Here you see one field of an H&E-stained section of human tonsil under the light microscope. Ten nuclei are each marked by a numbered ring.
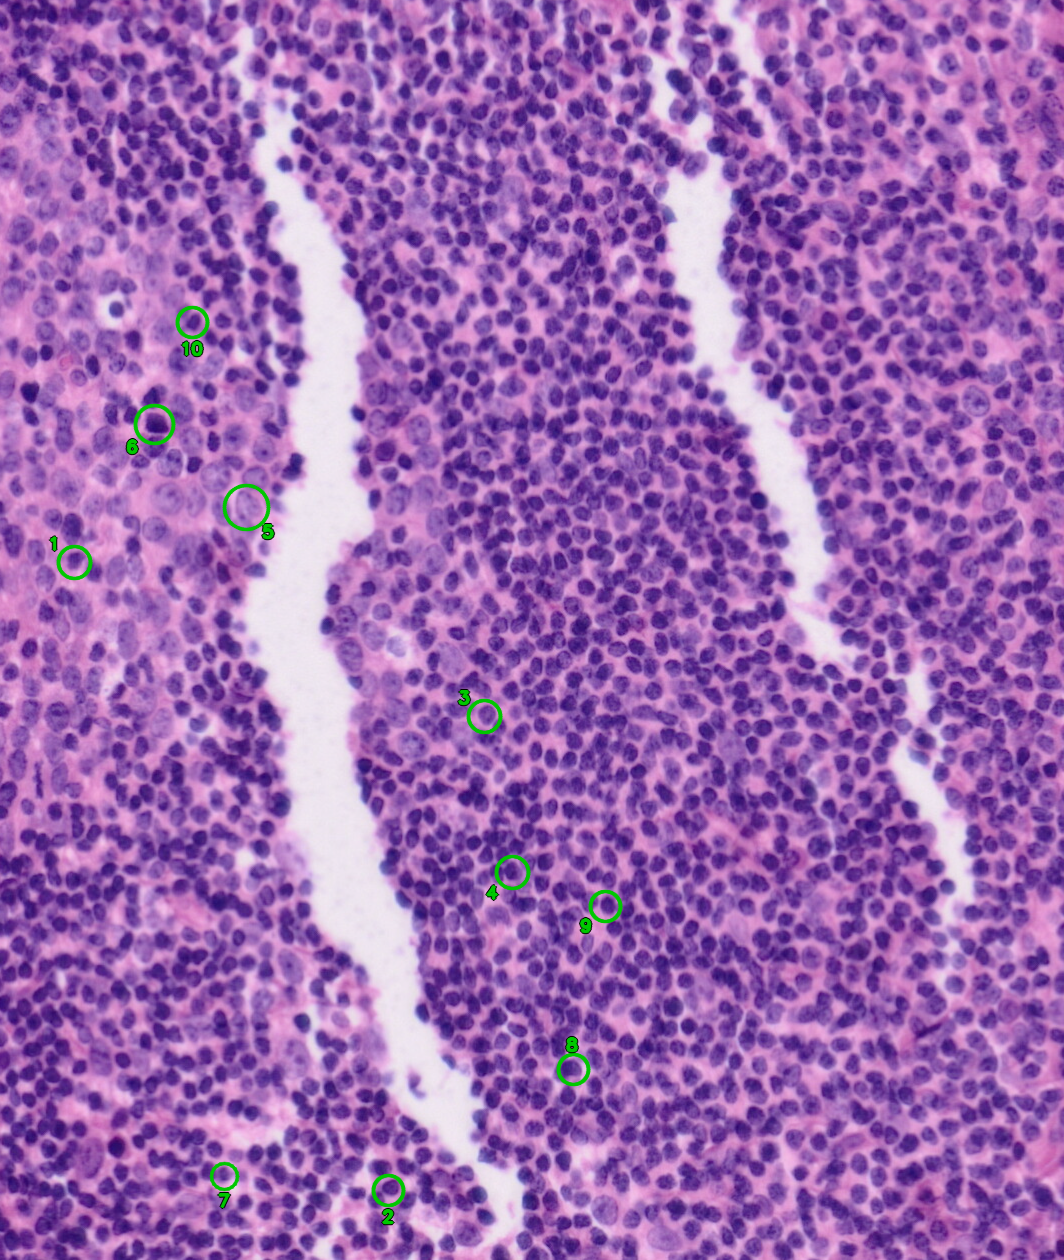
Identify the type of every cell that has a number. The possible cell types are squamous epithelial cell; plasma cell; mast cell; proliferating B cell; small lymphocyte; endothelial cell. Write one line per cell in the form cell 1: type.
cell 1: proliferating B cell
cell 2: small lymphocyte
cell 3: small lymphocyte
cell 4: small lymphocyte
cell 5: proliferating B cell
cell 6: proliferating B cell
cell 7: small lymphocyte
cell 8: small lymphocyte
cell 9: small lymphocyte
cell 10: proliferating B cell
